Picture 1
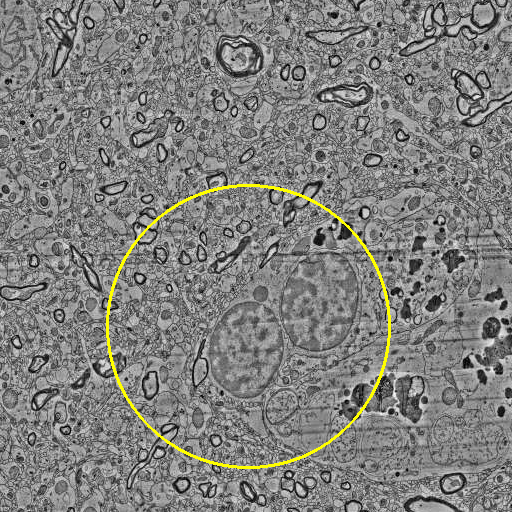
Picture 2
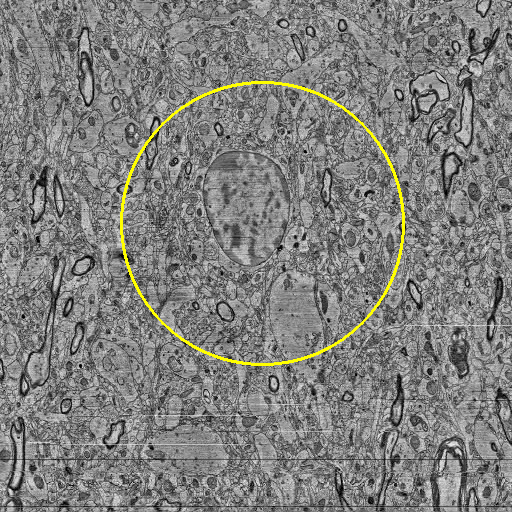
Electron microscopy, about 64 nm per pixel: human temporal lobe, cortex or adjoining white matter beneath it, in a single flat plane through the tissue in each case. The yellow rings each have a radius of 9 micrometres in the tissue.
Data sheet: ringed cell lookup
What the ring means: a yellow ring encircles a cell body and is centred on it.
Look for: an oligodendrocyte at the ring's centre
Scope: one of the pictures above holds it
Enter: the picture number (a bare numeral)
1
